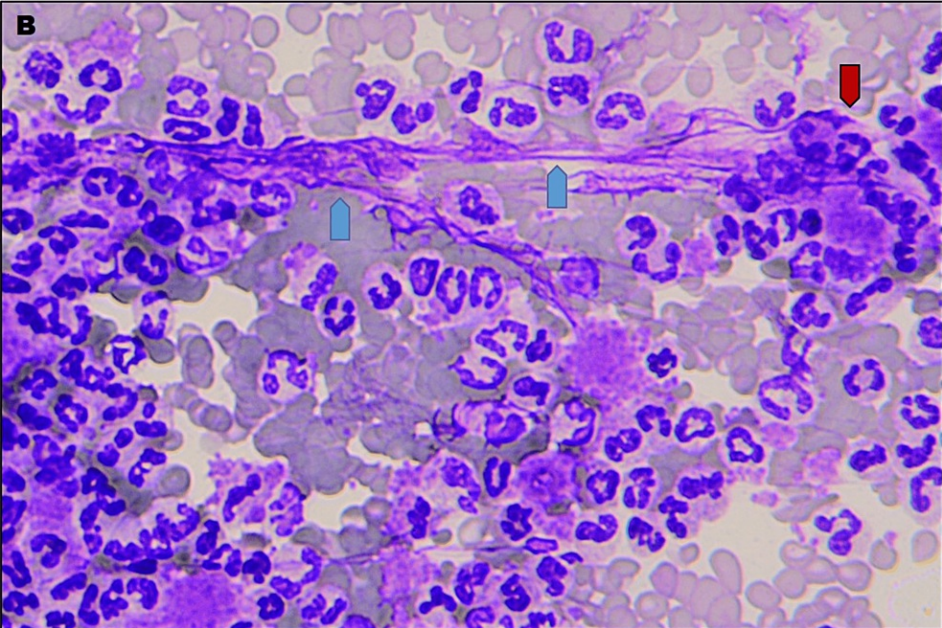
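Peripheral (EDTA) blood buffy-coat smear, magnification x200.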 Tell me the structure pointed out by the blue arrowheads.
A: fibrous deposits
